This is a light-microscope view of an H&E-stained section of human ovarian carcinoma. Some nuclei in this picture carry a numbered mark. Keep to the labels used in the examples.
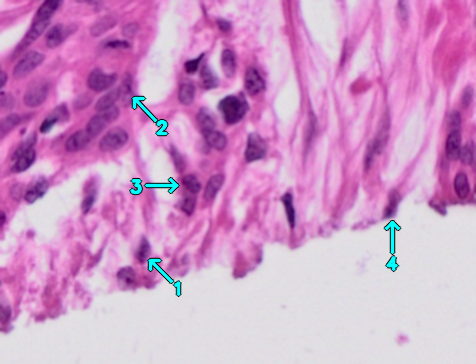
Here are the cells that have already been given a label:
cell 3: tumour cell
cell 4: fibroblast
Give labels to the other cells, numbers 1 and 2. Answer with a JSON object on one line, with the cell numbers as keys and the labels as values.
{"1": "fibroblast", "2": "tumour cell"}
